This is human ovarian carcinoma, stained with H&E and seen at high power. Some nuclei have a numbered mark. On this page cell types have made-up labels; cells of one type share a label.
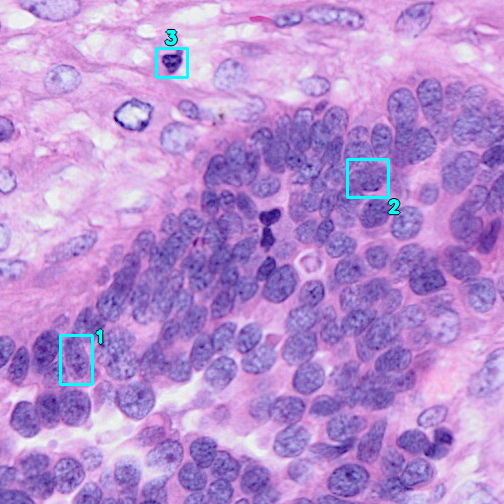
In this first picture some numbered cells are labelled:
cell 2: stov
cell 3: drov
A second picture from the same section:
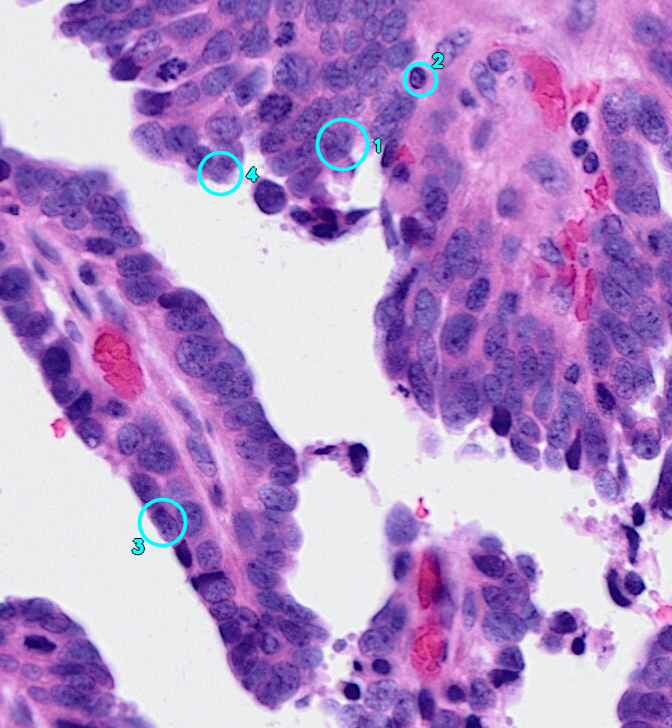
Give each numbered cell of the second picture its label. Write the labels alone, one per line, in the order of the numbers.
stov
drov
stov
stov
